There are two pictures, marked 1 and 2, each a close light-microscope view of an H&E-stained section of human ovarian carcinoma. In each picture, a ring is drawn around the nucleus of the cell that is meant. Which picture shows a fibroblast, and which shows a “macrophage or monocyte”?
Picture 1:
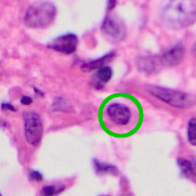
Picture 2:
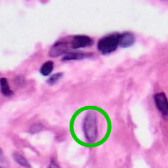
1: macrophage or monocyte
2: fibroblast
